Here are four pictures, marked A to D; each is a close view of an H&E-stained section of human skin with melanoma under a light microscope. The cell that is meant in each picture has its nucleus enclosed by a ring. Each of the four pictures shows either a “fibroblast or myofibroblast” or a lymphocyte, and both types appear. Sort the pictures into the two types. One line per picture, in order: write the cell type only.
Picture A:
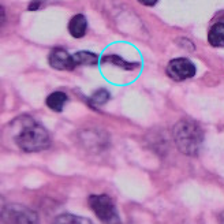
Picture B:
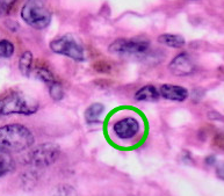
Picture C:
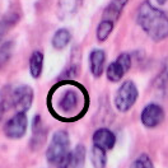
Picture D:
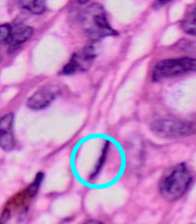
fibroblast or myofibroblast
lymphocyte
lymphocyte
fibroblast or myofibroblast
